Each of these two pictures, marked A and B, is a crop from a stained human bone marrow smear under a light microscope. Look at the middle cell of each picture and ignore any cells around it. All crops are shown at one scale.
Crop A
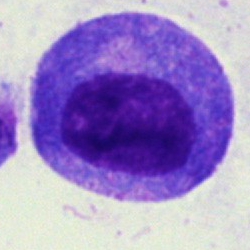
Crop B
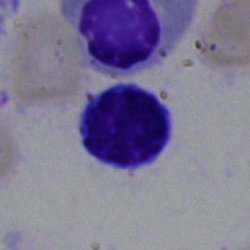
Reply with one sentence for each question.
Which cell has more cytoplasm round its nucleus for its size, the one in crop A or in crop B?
In crop A the nucleus takes up the smaller part of its cell.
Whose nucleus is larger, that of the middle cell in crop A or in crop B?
The nucleus in crop A is larger, with about 2 times the area of the one in crop B.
